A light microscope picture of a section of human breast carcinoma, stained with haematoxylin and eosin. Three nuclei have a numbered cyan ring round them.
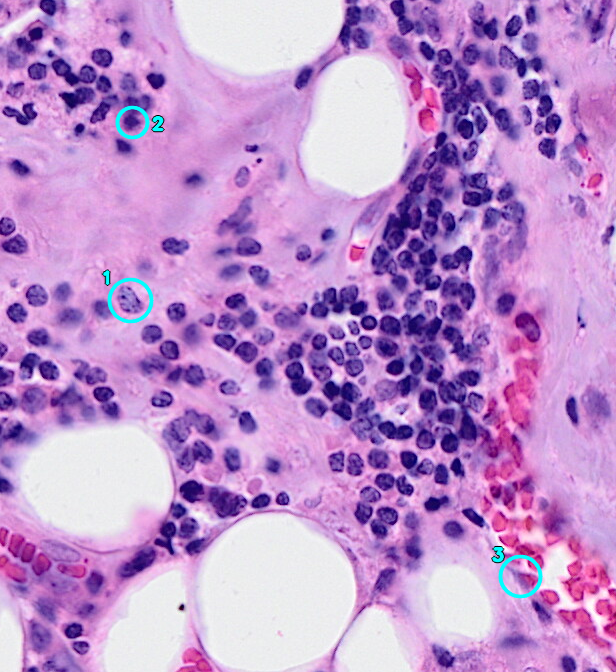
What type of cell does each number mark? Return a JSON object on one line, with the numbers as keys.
{"1": "mast cell", "2": "lymphocyte", "3": "endothelial cell"}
